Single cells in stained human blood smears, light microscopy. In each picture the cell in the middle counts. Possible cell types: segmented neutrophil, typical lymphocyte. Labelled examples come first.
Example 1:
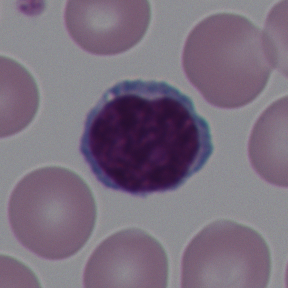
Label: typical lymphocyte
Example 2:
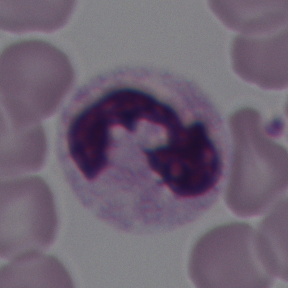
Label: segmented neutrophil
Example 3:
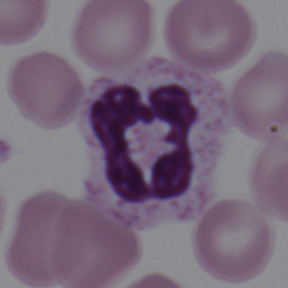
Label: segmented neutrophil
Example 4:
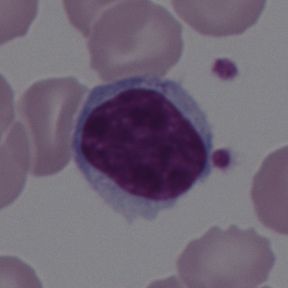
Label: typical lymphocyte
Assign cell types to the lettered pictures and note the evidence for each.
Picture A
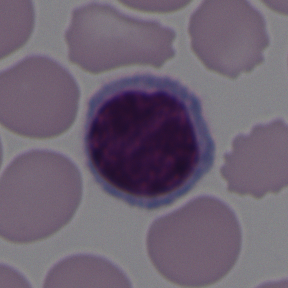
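Answer: typical lymphocyte. The cytoplasm forms a thin rim around the nucleus.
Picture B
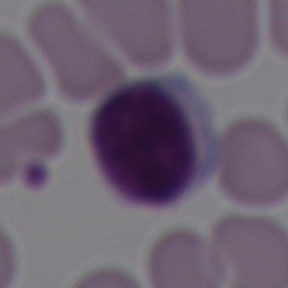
Answer: typical lymphocyte. The cytoplasm shows mainly as a narrow crescent along the right side of the cell.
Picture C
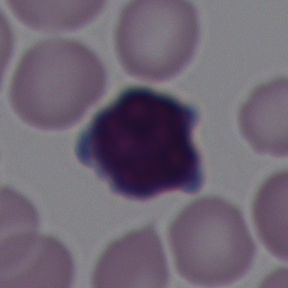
Answer: typical lymphocyte. The nucleus fills almost the whole cell.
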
